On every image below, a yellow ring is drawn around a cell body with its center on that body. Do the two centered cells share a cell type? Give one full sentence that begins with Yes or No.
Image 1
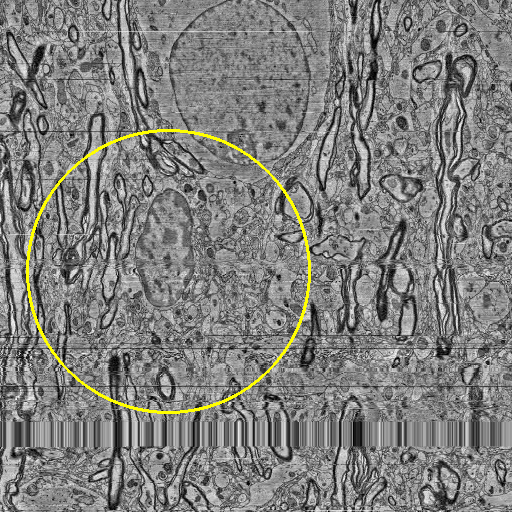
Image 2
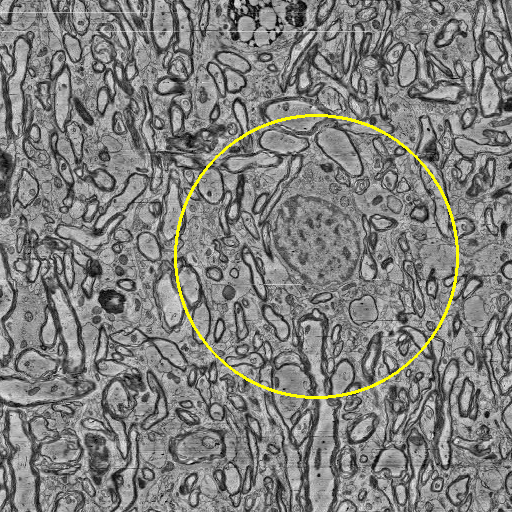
No, the centered cells in the two images are of two separate cell types.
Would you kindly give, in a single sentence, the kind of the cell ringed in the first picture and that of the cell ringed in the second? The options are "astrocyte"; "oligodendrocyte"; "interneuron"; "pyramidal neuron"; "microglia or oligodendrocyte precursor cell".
The second cell is an oligodendrocyte, and the first cell is a microglial cell or oligodendrocyte precursor cell.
